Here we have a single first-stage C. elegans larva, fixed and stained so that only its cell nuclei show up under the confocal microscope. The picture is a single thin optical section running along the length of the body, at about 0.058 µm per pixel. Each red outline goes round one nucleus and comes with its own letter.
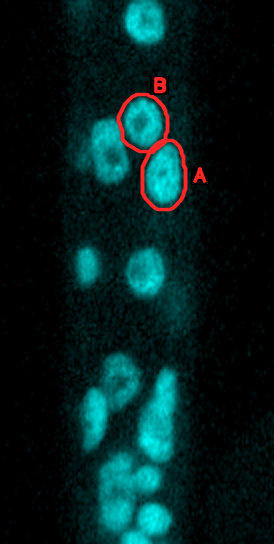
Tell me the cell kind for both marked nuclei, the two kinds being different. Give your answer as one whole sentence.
A is the nucleus of a P cell (ventral epidermal blast cell); B is the nucleus of a seam cell.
